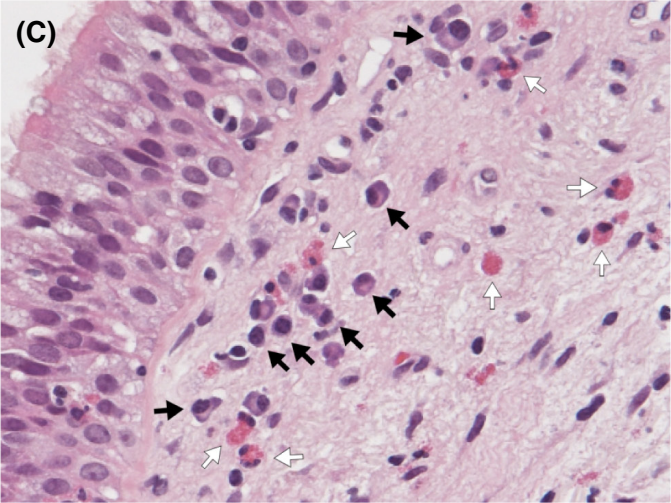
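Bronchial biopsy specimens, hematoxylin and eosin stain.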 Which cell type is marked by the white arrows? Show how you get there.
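The marked cells have bright red-orange granular cytoplasm. Several marked cells have lobed nuclei. The marked cells lie scattered in the loose tissue beneath the epithelium. On this evidence: eosinophilic.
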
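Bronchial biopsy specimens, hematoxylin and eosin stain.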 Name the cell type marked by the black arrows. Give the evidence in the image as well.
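The marked cells have round, eccentrically placed nuclei. The marked cells have a rim of purplish cytoplasm. The marked cells cluster just beneath the epithelium. The answer: plasmacytic.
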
